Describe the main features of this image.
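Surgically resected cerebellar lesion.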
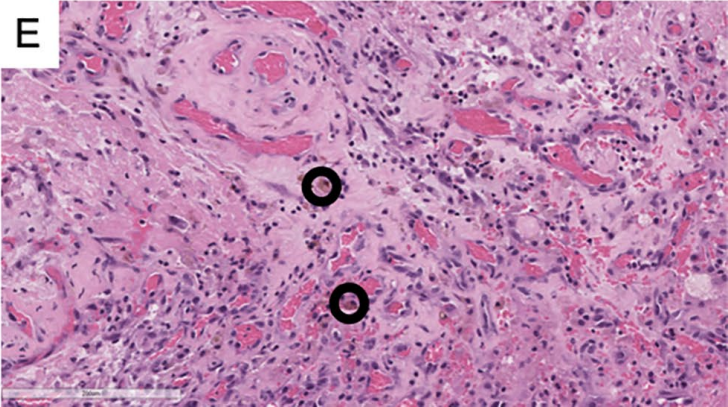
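A dense cluster of proliferated small blood vessels with pigment-laden macrophages between them. Many closely packed vessels are filled with red blood cells, and some have thickened pink walls. The tissue between the vessels is cellular, with many spindle-shaped and round nuclei. Here and there, cells hold coarse golden-brown granules in their cytoplasm. The crowding of vessels is vascular proliferation.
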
